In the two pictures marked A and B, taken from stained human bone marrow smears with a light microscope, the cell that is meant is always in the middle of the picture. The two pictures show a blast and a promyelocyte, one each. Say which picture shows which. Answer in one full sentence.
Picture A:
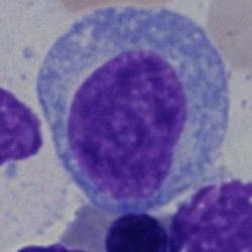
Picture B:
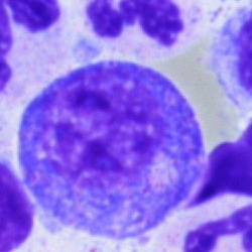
In picture A the cell is a blast; in picture B, a promyelocyte.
